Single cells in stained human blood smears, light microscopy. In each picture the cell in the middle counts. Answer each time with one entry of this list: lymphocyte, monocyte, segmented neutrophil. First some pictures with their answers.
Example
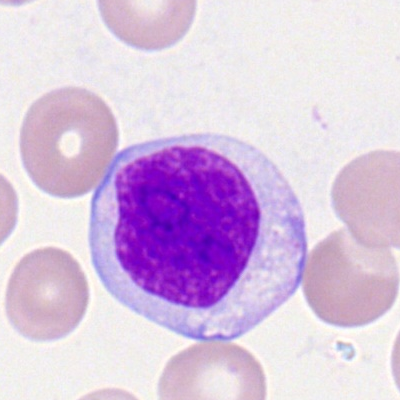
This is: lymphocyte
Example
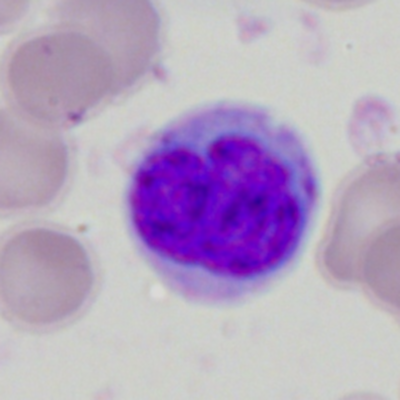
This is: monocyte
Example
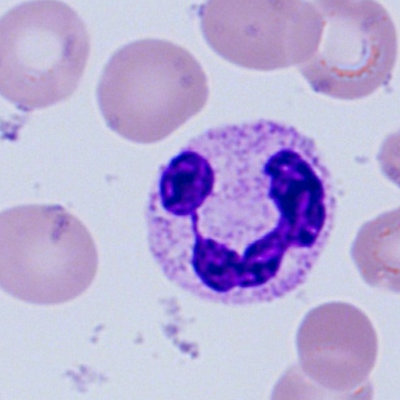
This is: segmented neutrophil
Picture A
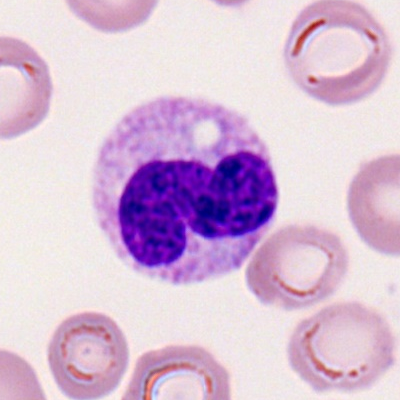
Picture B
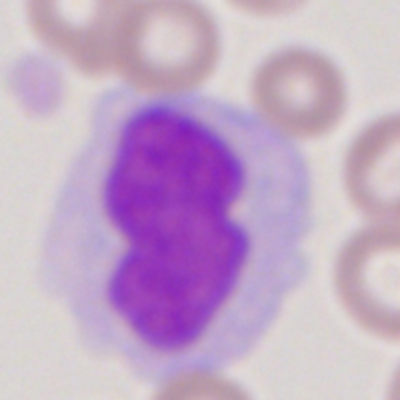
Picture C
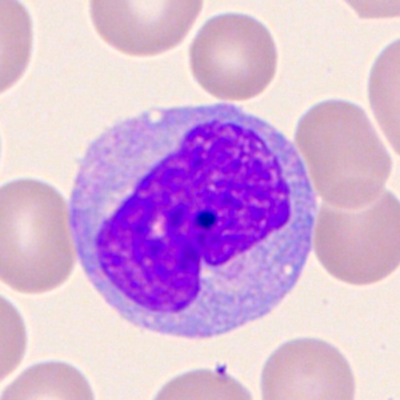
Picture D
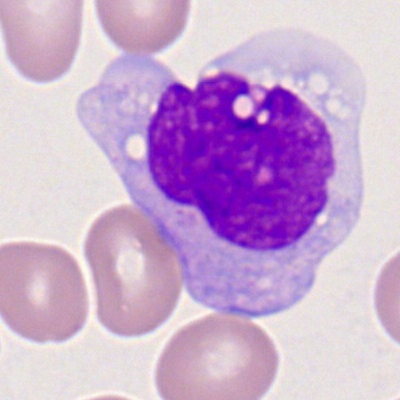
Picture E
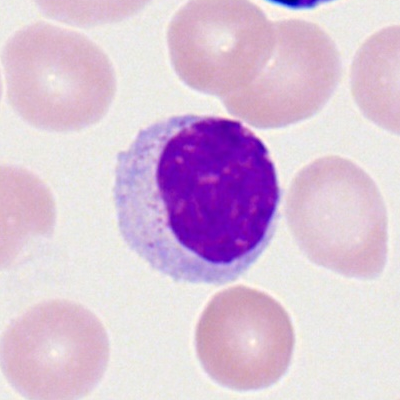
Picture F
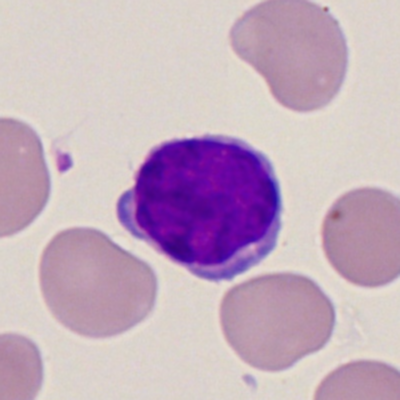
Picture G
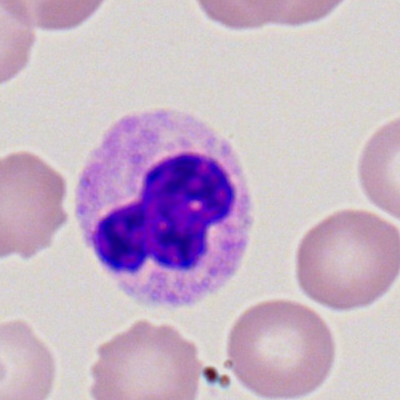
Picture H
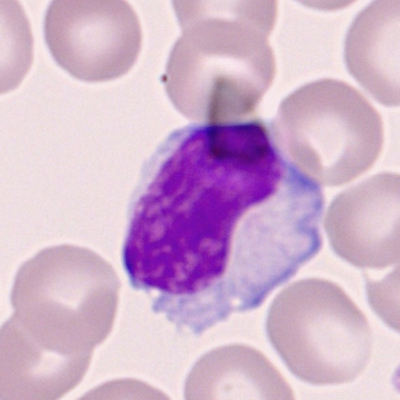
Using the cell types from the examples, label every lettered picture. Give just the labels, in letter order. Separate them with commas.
segmented neutrophil, monocyte, monocyte, monocyte, lymphocyte, lymphocyte, segmented neutrophil, lymphocyte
